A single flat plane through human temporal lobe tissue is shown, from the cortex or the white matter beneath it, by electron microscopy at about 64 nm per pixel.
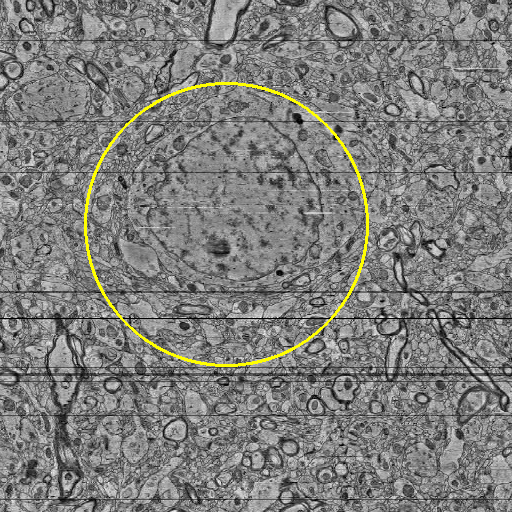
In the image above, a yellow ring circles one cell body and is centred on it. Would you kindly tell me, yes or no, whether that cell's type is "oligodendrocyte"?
no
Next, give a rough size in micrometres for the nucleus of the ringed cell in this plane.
In this plane, roughly 11 micrometres across.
